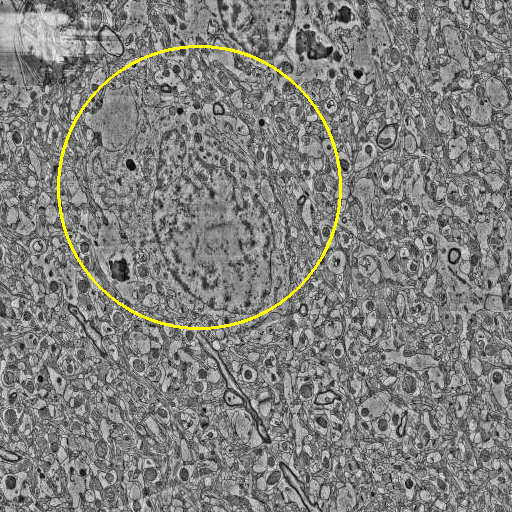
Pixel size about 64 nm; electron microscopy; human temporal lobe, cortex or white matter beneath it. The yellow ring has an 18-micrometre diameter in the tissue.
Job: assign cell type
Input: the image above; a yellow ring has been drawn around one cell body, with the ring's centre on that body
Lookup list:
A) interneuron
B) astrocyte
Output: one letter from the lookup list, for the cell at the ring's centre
A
